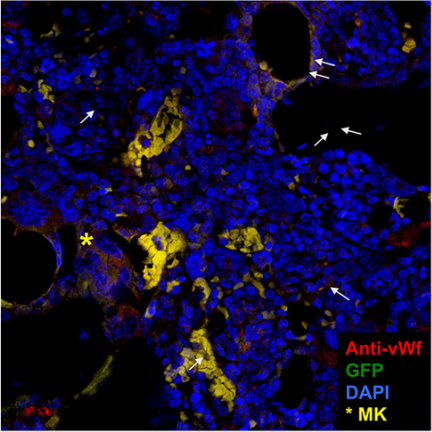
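This is a lower-power view of bone marrow densely packed with cells whose blue nuclei fill the field. Several large dark empty vessel lumens are scattered through it. Small isolated labelled cells sit next to the vessel walls.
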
